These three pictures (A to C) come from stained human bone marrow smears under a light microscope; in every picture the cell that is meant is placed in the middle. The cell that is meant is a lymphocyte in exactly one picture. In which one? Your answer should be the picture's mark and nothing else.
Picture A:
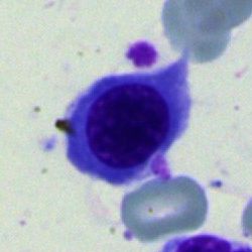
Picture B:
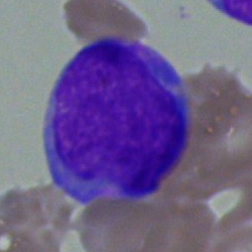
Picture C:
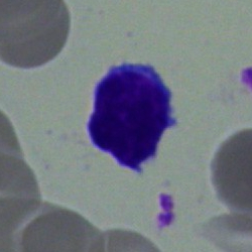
C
